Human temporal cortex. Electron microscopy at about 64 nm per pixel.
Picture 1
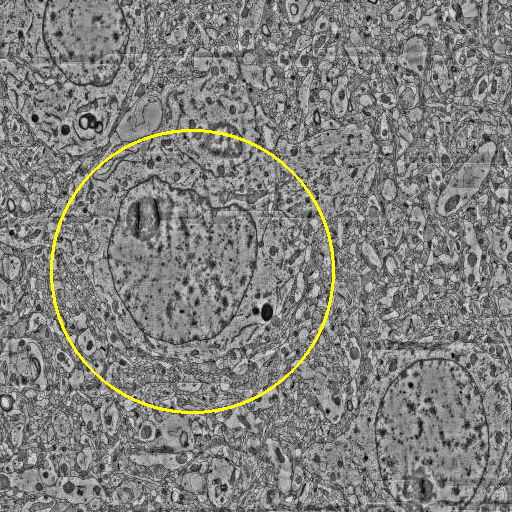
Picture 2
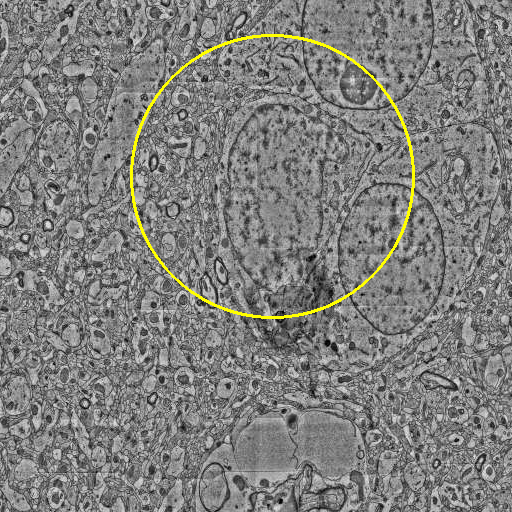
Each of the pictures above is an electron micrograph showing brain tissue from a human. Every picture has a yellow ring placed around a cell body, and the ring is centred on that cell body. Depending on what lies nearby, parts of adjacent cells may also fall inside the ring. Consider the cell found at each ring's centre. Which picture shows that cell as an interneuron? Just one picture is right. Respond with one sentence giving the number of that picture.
The picture showing the wanted cell at the ring's centre is number 2.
